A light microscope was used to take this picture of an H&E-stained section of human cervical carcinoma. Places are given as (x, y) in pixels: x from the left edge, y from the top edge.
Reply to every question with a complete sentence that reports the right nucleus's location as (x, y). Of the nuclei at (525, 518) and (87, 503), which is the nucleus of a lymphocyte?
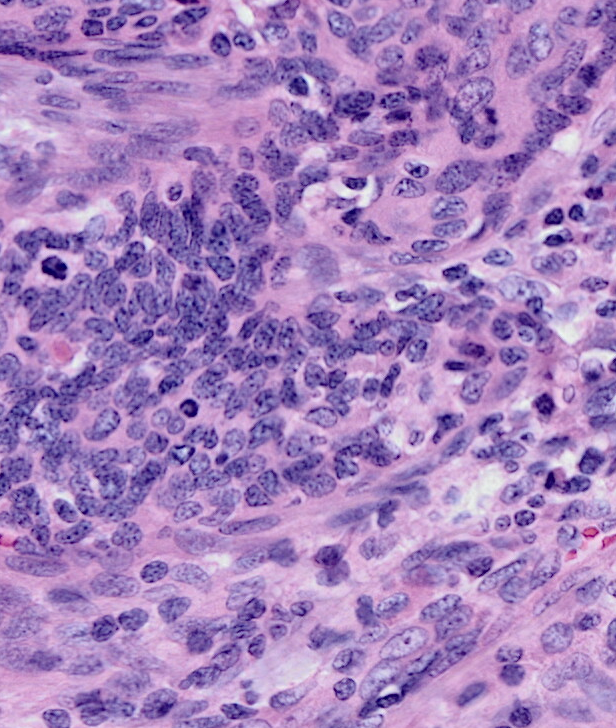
Which one belongs to a lymphocyte? The nucleus at (525, 518) does.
